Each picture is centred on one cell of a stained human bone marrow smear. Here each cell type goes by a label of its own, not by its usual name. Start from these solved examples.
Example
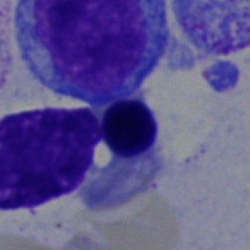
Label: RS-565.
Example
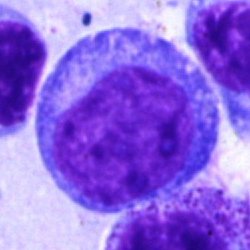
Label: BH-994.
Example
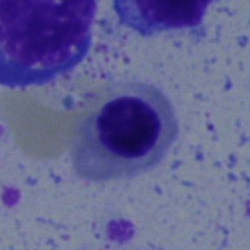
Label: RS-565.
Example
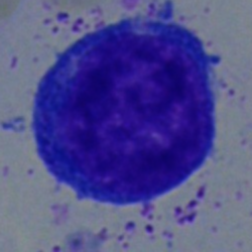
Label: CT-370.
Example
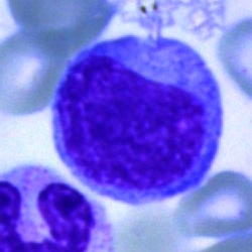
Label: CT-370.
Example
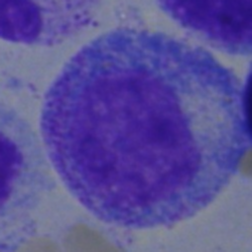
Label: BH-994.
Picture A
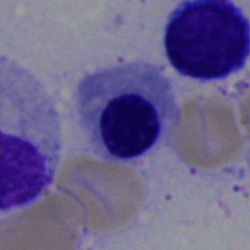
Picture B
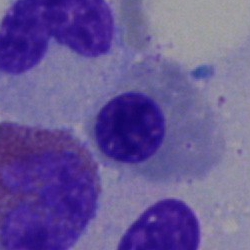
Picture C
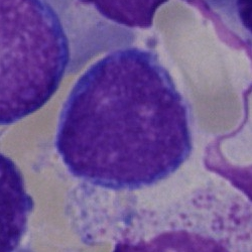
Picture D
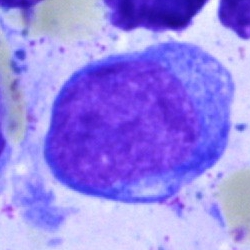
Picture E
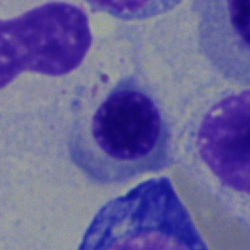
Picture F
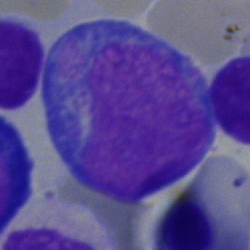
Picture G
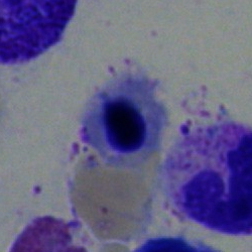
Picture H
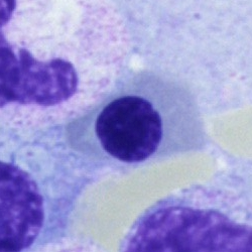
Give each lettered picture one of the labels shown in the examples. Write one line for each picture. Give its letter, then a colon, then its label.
A: RS-565.
B: RS-565.
C: CT-370.
D: CT-370.
E: RS-565.
F: CT-370.
G: RS-565.
H: RS-565.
